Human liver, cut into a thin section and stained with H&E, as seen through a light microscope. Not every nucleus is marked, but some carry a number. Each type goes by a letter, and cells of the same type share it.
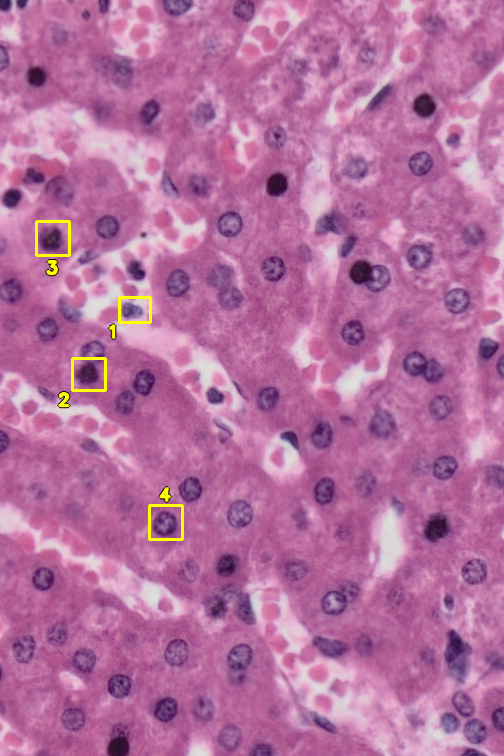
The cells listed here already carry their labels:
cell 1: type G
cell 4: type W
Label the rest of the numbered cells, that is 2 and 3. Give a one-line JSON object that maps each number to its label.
{"2": "type W", "3": "type W"}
